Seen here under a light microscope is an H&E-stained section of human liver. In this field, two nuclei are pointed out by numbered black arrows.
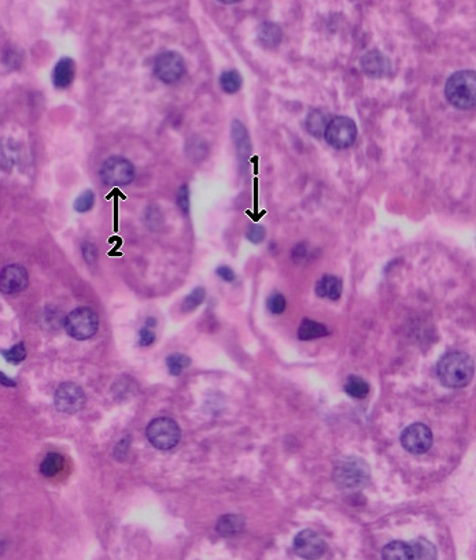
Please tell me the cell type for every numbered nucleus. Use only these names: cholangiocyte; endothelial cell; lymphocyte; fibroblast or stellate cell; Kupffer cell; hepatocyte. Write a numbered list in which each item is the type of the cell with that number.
1. lymphocyte
2. hepatocyte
